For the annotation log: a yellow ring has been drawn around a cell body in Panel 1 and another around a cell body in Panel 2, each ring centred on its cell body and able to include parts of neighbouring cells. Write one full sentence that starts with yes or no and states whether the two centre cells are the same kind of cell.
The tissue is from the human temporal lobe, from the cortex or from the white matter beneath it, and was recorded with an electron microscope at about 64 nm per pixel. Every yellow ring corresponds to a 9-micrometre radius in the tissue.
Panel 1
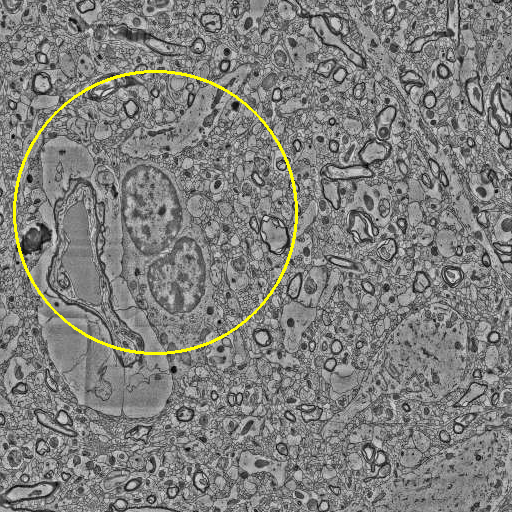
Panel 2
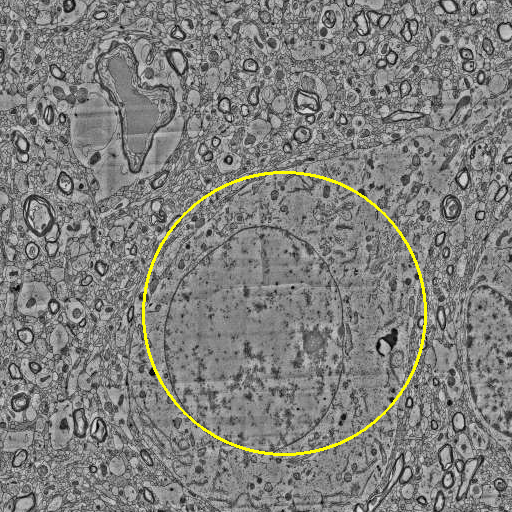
No, the two centre cells are two kinds of cell.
